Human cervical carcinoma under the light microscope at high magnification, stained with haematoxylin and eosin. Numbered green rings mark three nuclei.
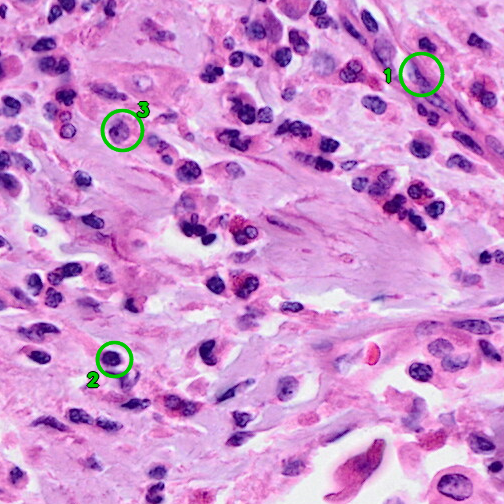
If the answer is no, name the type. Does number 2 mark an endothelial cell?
No, it is a lymphocyte.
